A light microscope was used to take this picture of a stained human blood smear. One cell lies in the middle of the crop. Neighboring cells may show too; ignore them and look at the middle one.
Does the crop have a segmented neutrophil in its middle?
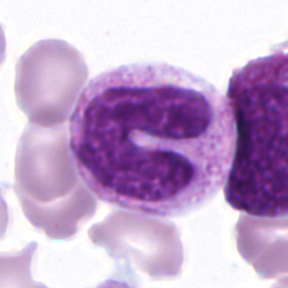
no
